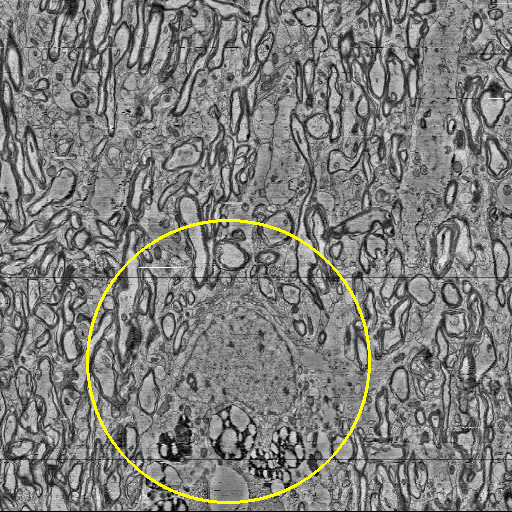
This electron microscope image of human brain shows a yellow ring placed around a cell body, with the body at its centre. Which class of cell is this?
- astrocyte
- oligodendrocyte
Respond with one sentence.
The cell body at the ring's centre is an astrocyte.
